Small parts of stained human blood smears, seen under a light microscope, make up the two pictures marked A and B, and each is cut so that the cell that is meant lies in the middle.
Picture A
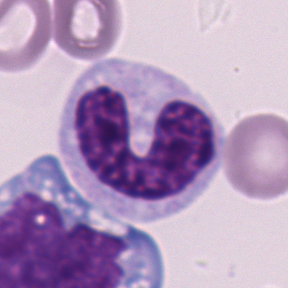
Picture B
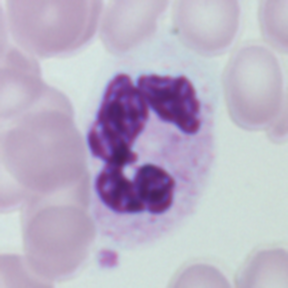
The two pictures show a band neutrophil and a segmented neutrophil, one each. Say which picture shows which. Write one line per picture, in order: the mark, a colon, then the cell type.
A: band neutrophil
B: segmented neutrophil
